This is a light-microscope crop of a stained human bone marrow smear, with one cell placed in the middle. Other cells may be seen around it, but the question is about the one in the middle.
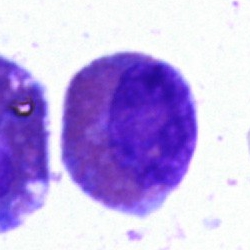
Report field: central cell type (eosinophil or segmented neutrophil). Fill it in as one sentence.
The cell at the central position in this crop is an eosinophil.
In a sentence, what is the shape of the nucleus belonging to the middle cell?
The nucleus amounts to one compact mass with a round, oval or kidney-shaped outline.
